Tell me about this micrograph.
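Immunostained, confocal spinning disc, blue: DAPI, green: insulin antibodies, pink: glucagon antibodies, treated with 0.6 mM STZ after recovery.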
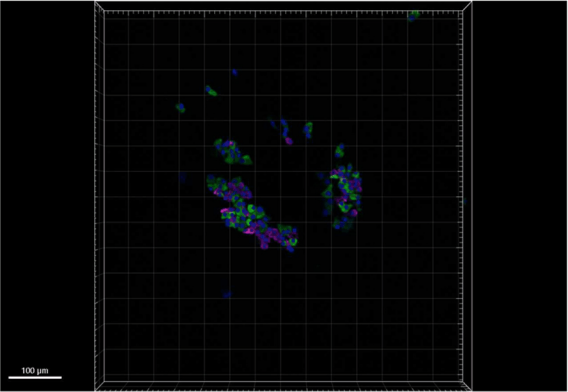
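This is a whole pancreatic islet spread flat, but here the cells do not form a solid cluster: they lie in separate patches arranged roughly along a broken ring, with an empty middle. Blue nuclei mark each cell, and a few isolated cells, some with only blue nuclei, are scattered around the field. Overall far fewer cells are present than a compact islet would hold.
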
